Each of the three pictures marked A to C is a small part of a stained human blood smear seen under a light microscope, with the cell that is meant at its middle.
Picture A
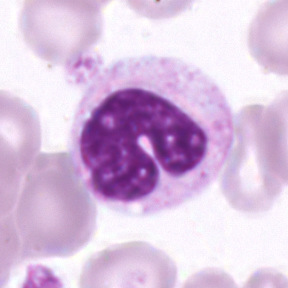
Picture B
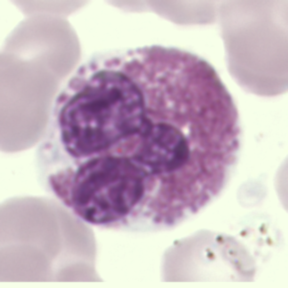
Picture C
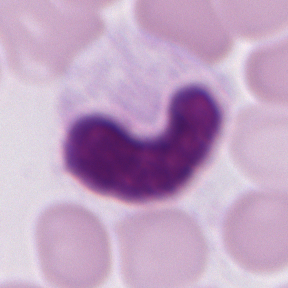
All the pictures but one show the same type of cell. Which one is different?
B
